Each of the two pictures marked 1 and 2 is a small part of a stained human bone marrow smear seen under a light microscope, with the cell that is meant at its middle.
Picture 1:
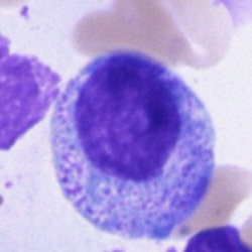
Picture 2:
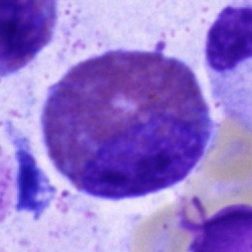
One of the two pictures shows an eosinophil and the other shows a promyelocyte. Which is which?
1: promyelocyte
2: eosinophil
